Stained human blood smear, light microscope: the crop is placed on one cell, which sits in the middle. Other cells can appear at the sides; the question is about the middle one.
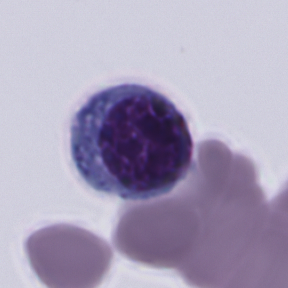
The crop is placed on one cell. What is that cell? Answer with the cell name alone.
plasma cell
